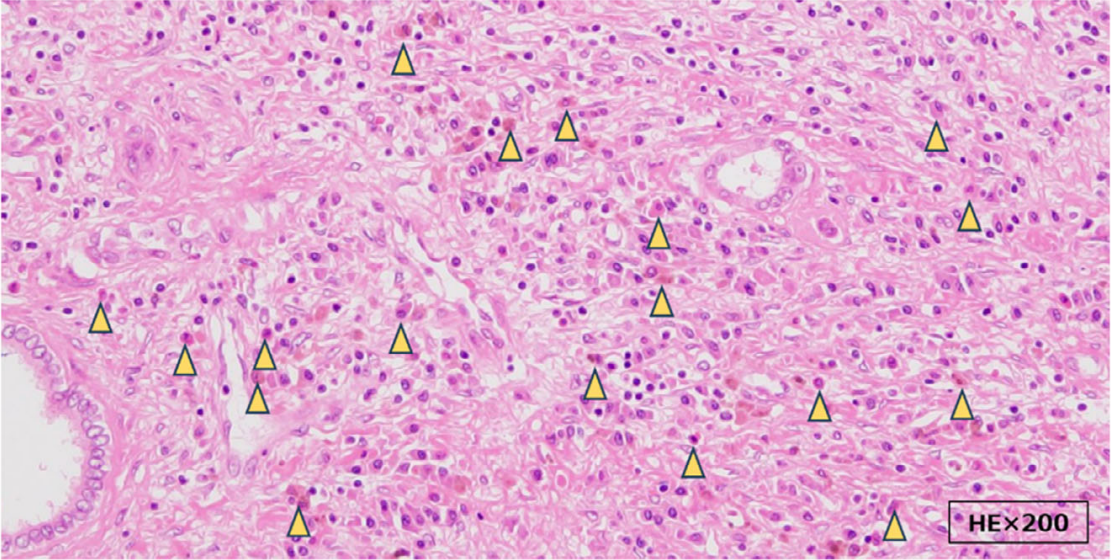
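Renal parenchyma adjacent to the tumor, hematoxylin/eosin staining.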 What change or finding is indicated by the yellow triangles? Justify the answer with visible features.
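Many such cells scattered through loose stroma.
Eosinophilia.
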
